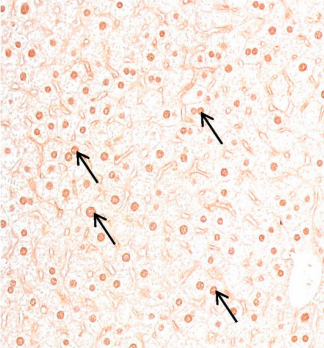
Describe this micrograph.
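Sheets of large polygonal cells with pale cytoplasm and single round nuclei, many of which are stained reddish-brown, lie in cords separated by narrow channels lined by thin stained elongated cells, with a small vessel lumen among them. These are hepatocytes of the liver, arranged in plates between sinusoids.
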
